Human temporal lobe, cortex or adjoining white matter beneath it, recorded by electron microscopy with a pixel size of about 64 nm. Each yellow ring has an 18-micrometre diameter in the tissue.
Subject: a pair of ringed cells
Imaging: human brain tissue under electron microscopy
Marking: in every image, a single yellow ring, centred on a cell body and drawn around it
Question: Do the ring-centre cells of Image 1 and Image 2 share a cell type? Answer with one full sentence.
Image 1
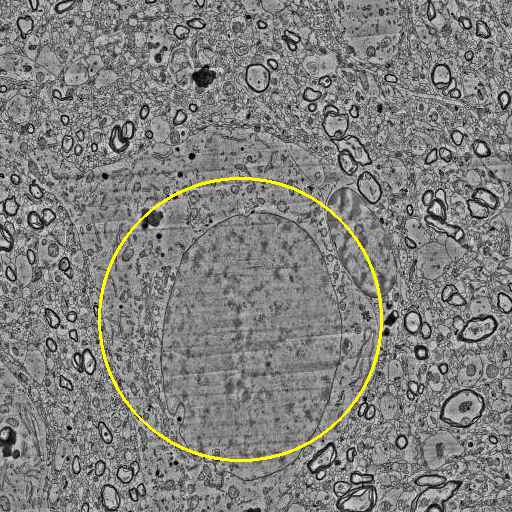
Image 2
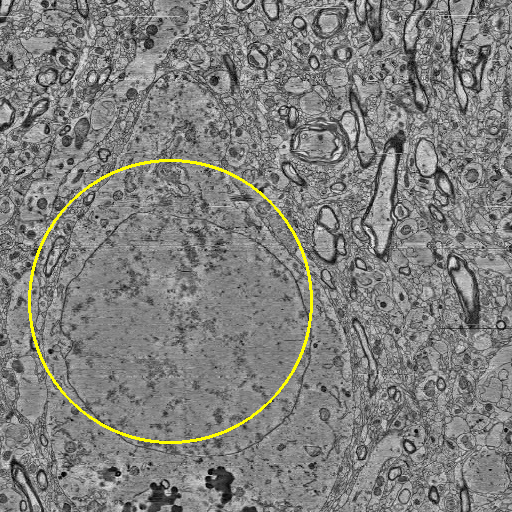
Yes, at each ring's centre in the images sits a cell of one common type.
